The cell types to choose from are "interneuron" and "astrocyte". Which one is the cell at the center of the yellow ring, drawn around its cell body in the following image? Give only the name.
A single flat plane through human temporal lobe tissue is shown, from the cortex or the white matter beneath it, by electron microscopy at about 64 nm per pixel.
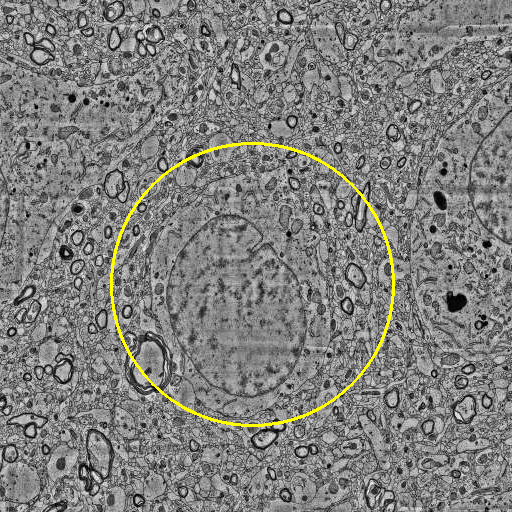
interneuron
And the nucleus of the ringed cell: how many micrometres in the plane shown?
In this plane the nucleus spans approximately 12 by 9 micrometers.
